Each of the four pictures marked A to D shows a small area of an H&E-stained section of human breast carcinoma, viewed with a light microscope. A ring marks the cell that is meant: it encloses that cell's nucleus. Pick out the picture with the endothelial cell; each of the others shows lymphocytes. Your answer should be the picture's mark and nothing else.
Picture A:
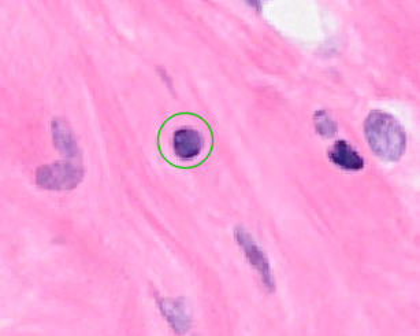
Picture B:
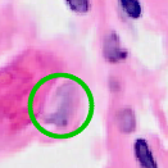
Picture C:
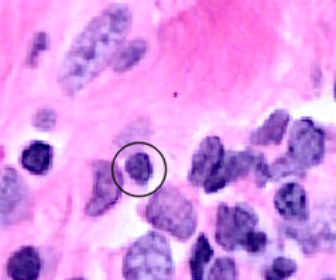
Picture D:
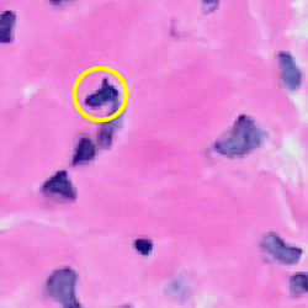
B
